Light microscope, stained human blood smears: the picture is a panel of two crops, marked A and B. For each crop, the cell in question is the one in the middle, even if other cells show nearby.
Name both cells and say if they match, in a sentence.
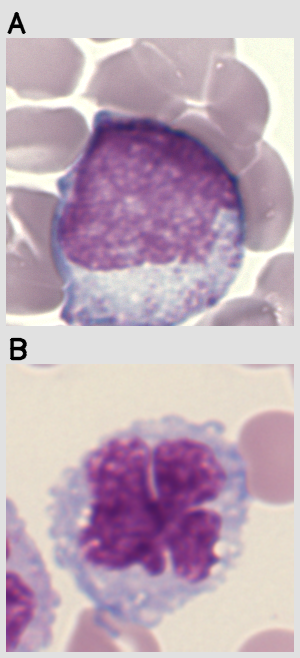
No; crop A is a promyelocyte, while crop B is a monocyte.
